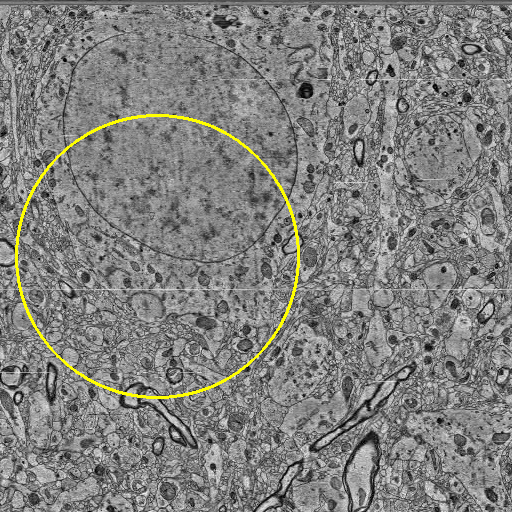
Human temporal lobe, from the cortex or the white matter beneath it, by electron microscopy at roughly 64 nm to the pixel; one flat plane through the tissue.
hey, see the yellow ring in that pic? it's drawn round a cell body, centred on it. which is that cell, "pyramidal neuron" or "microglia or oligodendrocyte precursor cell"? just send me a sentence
The cell in the ring is a pyramidal neuron.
